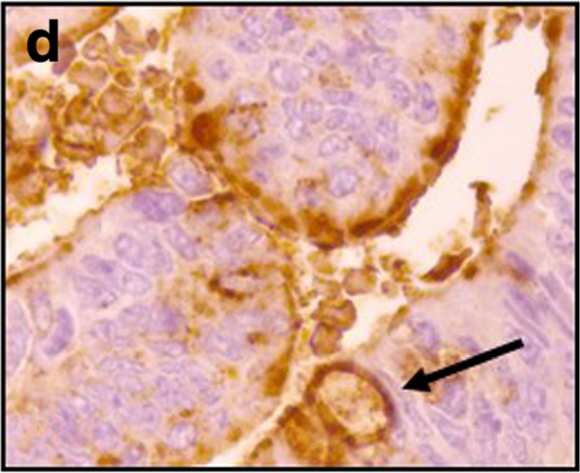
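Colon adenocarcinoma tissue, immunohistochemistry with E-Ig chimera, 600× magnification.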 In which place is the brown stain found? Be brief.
lumens of the crypts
